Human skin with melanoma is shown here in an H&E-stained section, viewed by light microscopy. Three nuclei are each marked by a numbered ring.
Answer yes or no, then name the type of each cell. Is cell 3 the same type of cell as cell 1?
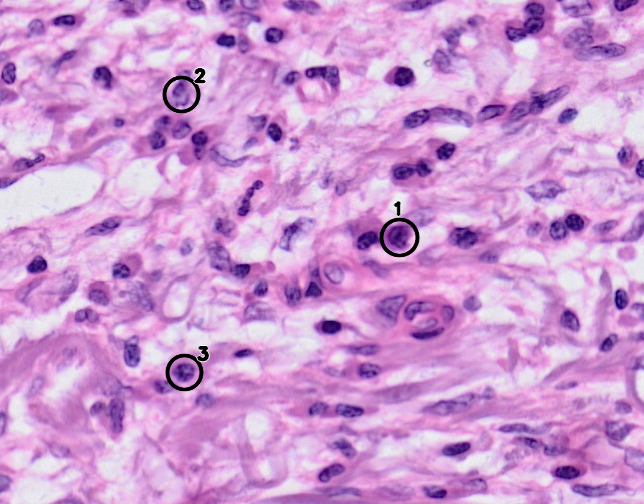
Yes, the two numbered cells, 3 and 1, are both plasma cells.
